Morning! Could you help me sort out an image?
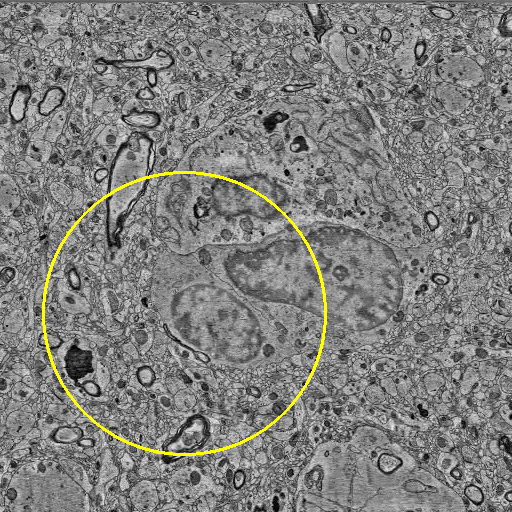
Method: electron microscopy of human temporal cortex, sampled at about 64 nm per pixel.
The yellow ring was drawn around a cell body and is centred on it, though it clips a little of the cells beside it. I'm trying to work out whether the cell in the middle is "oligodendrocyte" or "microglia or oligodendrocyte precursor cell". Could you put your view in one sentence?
The ringed cell body is that of an oligodendrocyte.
